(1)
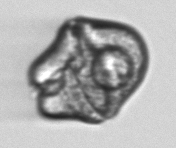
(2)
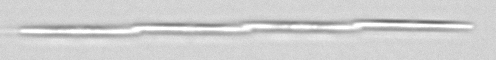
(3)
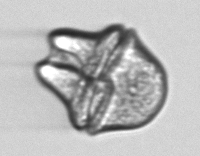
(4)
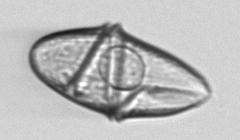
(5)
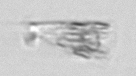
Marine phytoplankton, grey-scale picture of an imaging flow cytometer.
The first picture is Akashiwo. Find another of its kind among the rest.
Picture 3.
